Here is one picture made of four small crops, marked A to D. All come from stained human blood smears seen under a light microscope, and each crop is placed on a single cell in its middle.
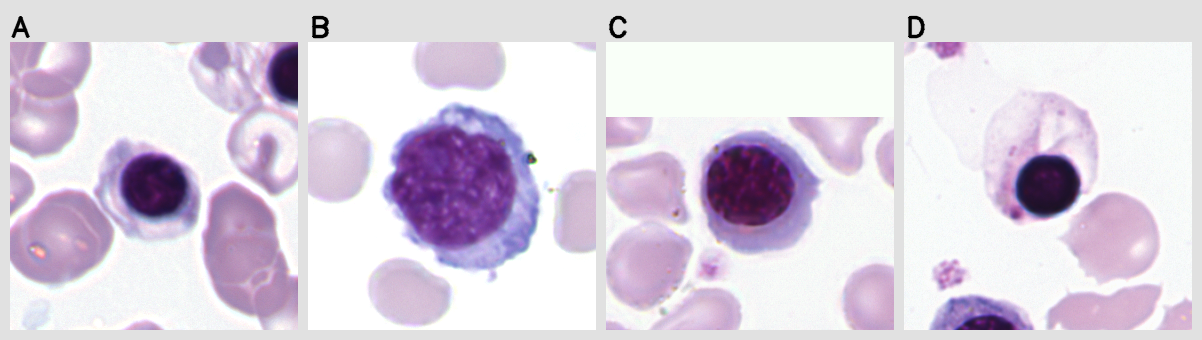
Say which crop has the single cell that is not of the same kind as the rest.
B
